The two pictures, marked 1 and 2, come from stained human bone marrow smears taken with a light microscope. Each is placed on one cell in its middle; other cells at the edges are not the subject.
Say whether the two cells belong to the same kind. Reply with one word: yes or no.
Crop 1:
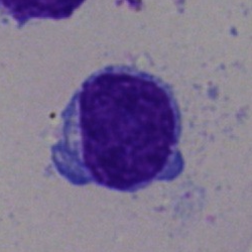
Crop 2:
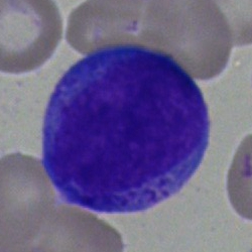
no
